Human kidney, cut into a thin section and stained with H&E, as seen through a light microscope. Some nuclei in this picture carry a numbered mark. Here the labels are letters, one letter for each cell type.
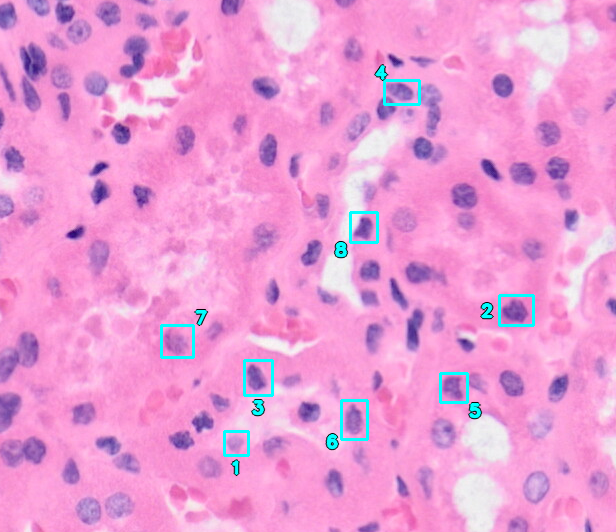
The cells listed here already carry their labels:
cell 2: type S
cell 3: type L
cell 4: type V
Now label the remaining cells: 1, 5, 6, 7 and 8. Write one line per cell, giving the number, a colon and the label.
1: type L
5: type S
6: type L
7: type S
8: type L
